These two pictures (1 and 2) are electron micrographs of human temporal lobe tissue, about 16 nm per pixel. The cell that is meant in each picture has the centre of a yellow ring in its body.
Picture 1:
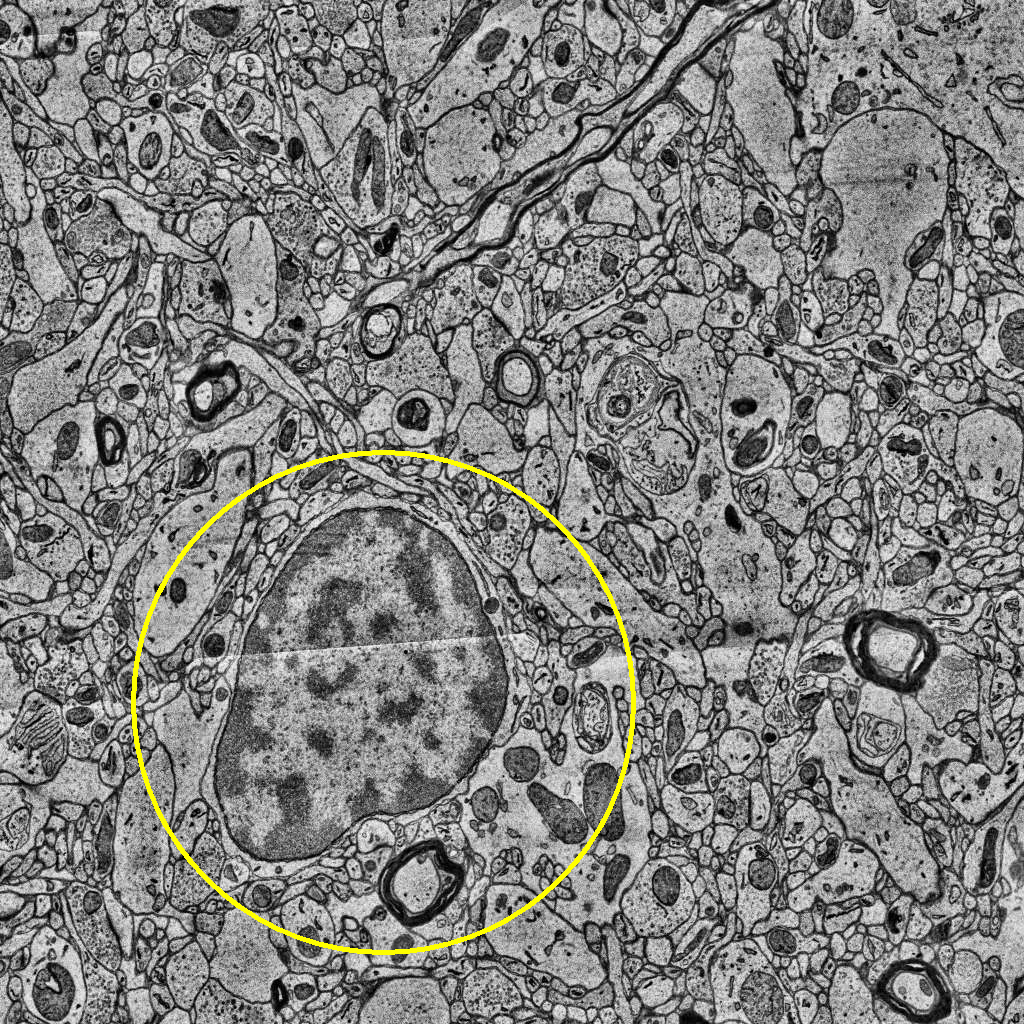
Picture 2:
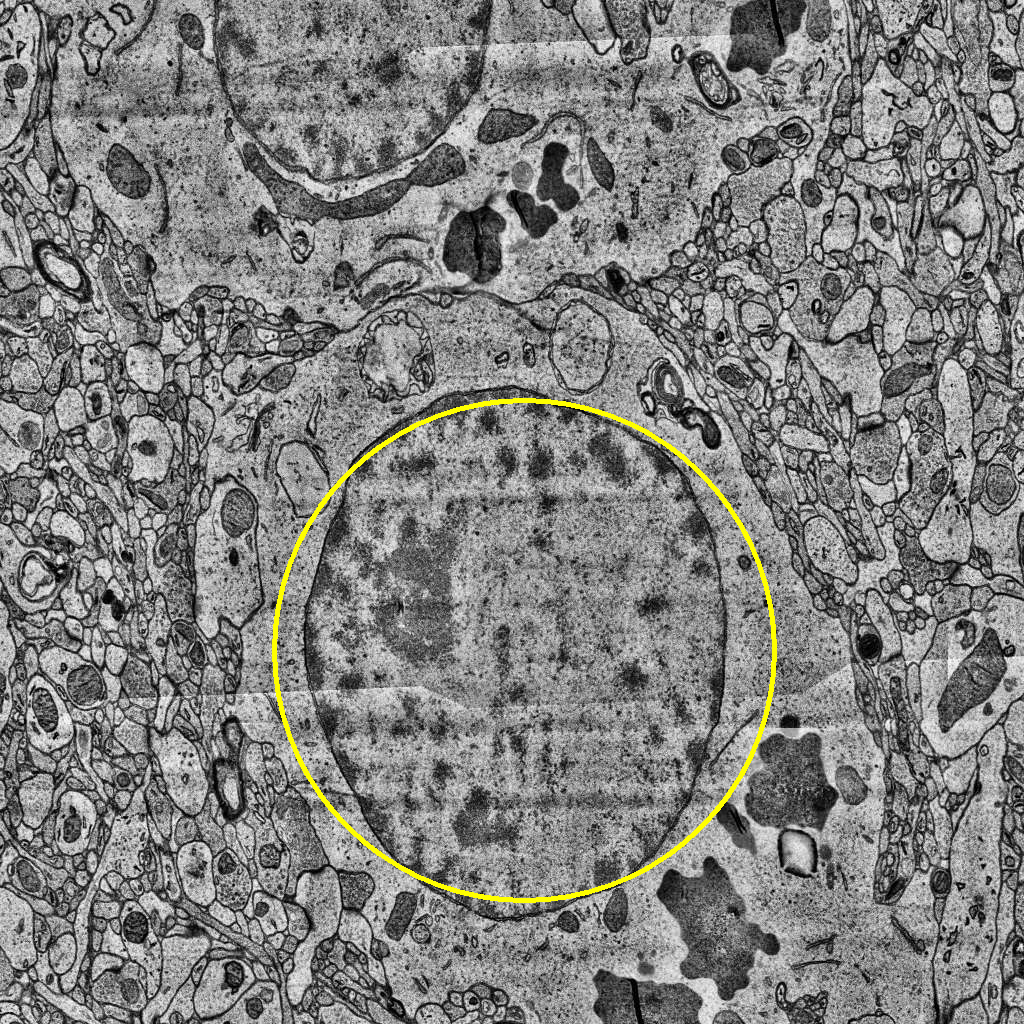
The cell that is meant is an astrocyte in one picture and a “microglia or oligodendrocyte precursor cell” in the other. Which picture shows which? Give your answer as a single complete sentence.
Picture 1 shows a “microglia or oligodendrocyte precursor cell” and picture 2 shows an astrocyte.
